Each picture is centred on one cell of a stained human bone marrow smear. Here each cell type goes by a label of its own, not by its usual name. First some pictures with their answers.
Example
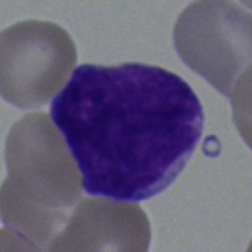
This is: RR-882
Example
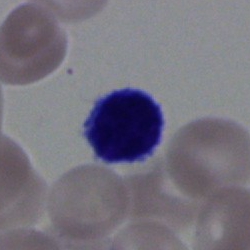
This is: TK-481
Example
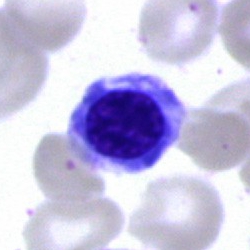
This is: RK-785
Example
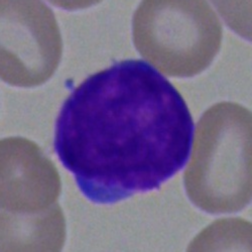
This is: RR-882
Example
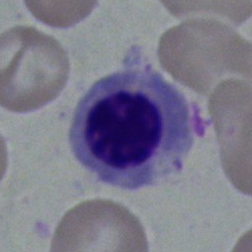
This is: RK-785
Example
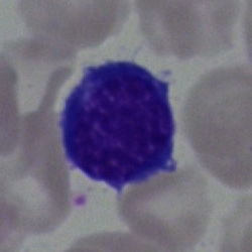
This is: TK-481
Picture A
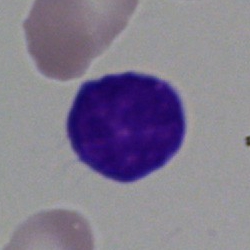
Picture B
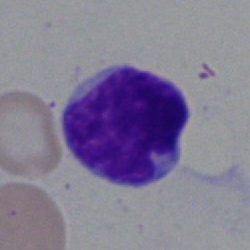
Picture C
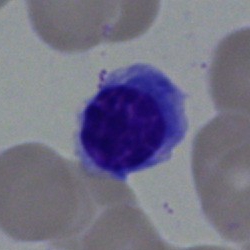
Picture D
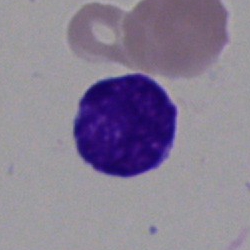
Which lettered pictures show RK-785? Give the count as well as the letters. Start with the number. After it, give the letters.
1, namely C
